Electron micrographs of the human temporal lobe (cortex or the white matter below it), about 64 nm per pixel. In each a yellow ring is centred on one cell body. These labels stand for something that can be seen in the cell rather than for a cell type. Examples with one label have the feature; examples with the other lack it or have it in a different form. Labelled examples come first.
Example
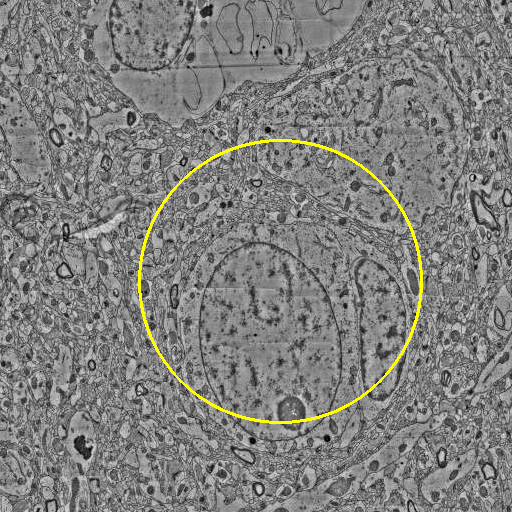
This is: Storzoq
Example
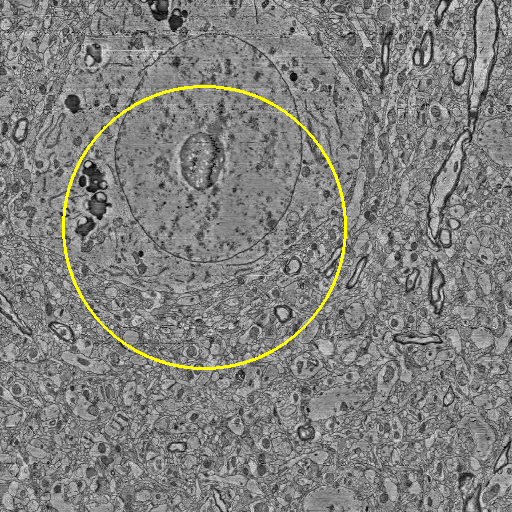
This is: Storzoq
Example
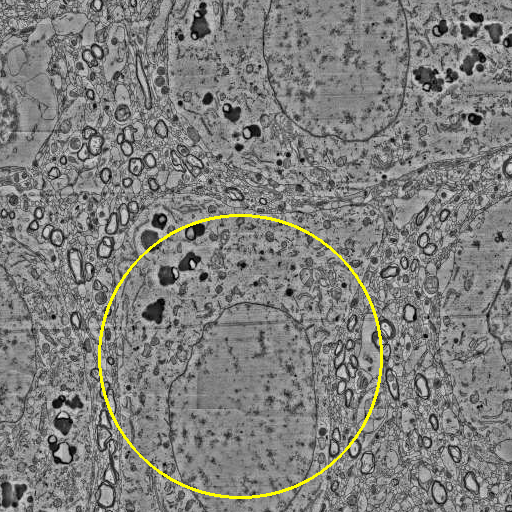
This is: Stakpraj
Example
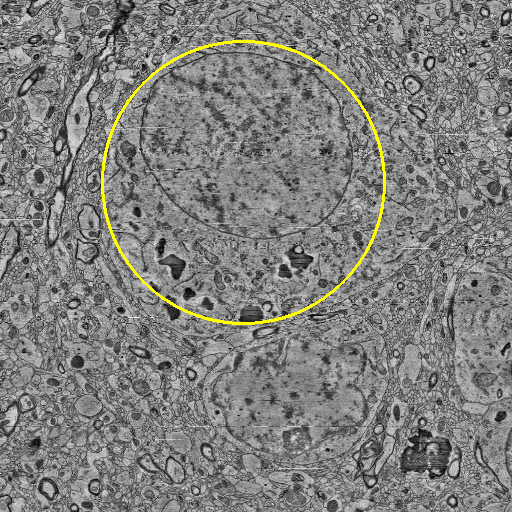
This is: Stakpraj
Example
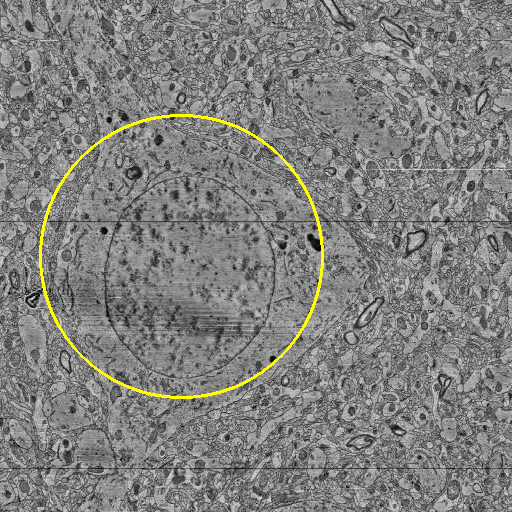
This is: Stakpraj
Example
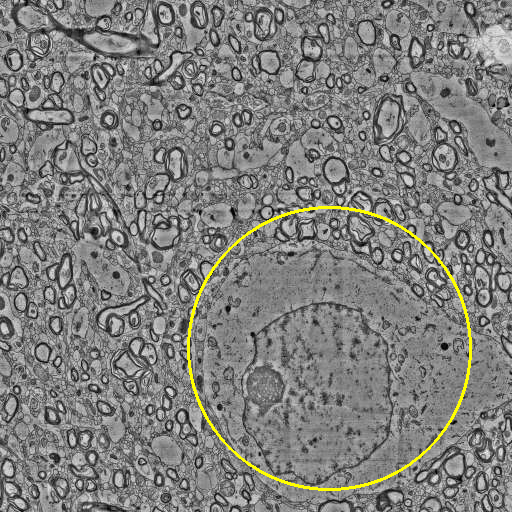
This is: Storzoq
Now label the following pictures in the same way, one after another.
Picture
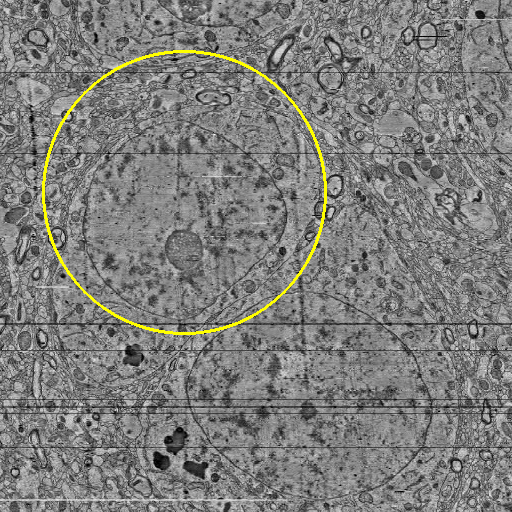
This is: Storzoq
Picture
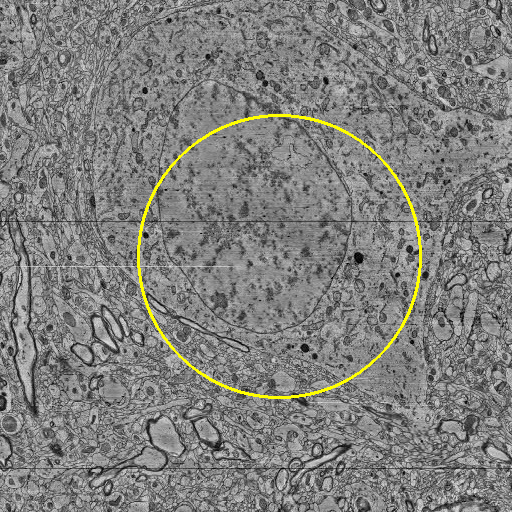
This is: Stakpraj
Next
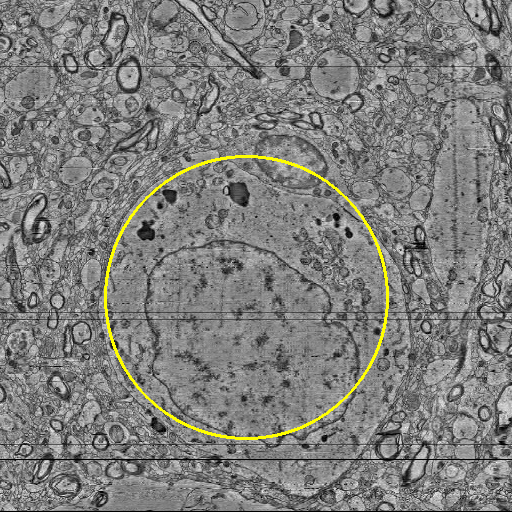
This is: Stakpraj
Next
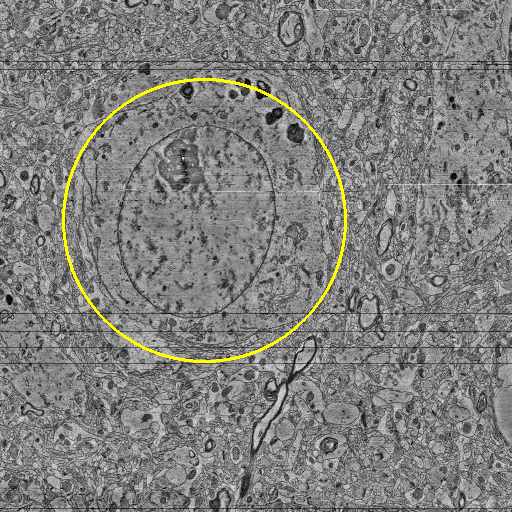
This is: Storzoq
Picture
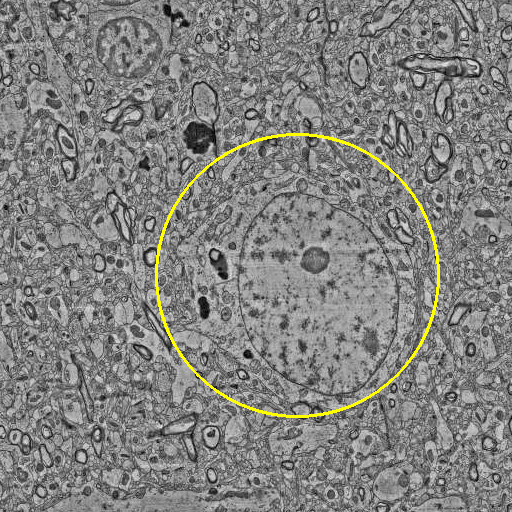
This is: Storzoq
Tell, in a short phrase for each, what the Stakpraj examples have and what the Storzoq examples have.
Seen in Stakpraj: no nucleolus seen; seen in Storzoq: nucleolus seen.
